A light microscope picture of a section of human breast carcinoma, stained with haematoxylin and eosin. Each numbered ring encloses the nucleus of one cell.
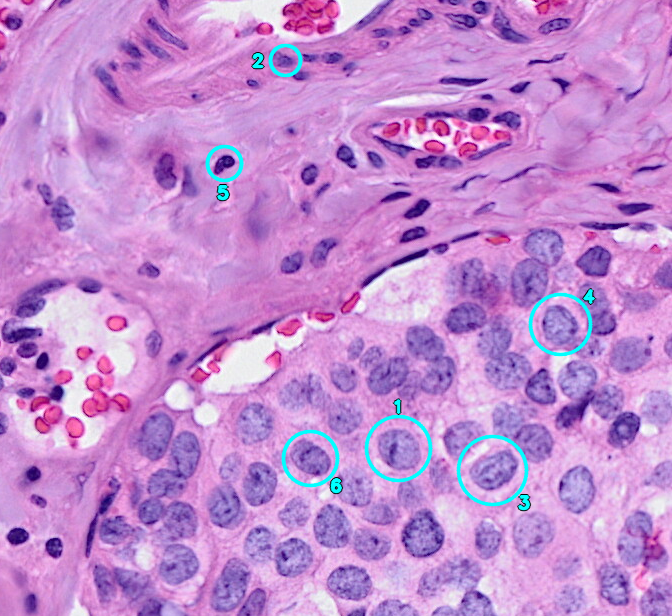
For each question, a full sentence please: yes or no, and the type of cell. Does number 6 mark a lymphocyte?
No, cell 6 is a carcinoma cell, not a lymphocyte.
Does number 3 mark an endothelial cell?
No, an endothelial cell is not what cell 3 is; it is a carcinoma cell.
